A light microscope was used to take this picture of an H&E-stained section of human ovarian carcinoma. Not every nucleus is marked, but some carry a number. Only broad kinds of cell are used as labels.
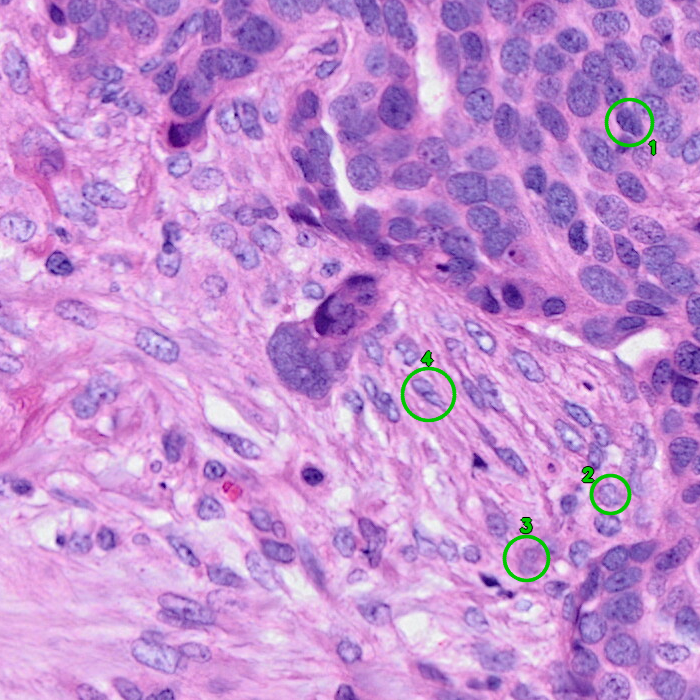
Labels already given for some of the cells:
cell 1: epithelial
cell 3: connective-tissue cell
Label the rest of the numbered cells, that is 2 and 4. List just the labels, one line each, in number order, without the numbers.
connective-tissue cell
connective-tissue cell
